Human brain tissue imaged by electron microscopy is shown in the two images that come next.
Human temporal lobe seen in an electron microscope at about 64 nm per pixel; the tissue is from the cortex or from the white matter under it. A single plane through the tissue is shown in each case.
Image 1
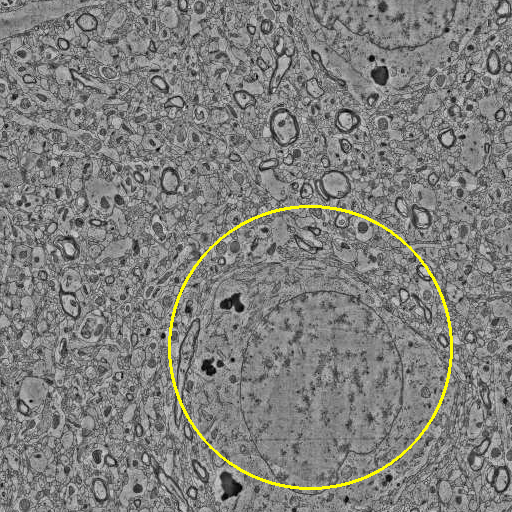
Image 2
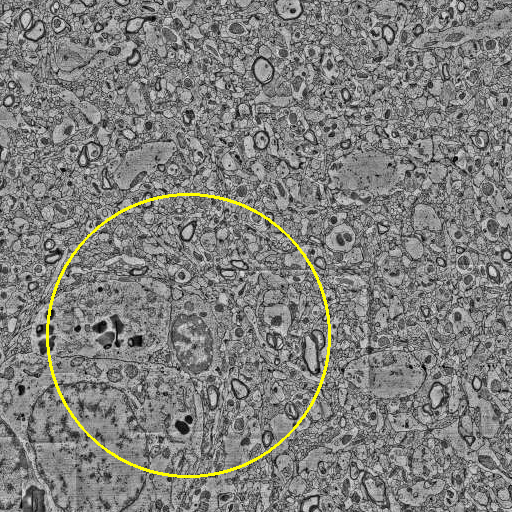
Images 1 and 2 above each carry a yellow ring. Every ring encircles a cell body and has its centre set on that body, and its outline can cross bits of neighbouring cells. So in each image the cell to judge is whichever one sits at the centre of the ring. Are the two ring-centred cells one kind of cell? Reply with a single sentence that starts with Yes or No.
No, in Image 1 and Image 2 the cells at the centres of their rings fall into two types.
